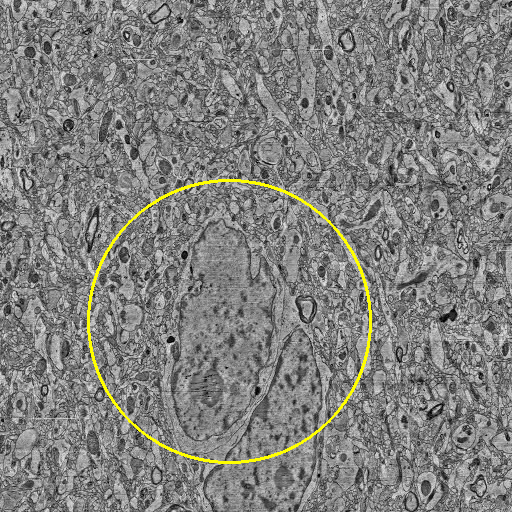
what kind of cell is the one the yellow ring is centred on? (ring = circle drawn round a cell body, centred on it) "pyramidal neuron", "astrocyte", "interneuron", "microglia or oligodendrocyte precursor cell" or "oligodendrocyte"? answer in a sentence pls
The ring is drawn around an interneuron.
